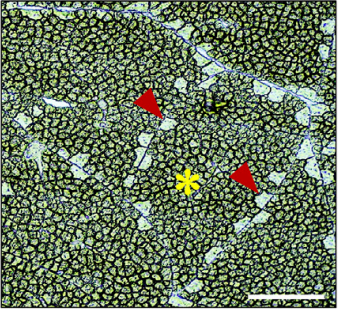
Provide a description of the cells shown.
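Transverse section of skeletal muscle showing densely packed myofibers cut in cross-section. Most fibers are small, polygonal and tightly fitted together, each outlined by a dark brown-black rim with a grayish interior, giving a fine mosaic appearance. Scattered among them, singly or in small groups, are larger fibers that stain very pale, almost white, and stand out clearly against the darker background. Thin bluish lines of connective tissue septa run across the field, dividing the fibers into fascicles. The fibers are closely apposed, with little space between them.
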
